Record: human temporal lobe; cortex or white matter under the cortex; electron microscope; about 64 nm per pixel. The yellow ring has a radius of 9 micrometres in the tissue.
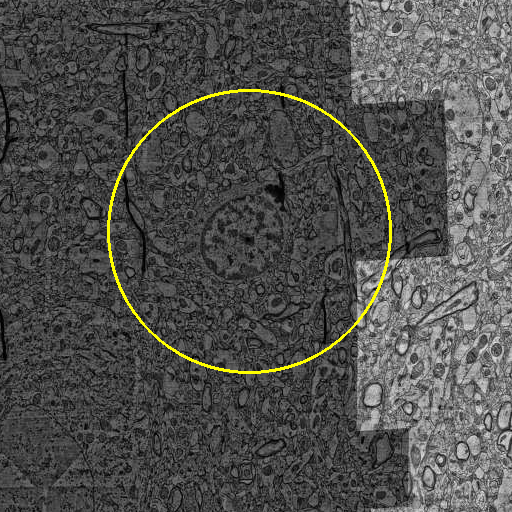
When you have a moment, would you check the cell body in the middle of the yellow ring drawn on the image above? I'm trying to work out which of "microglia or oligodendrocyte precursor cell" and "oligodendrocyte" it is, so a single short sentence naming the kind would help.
This cell body belongs to an oligodendrocyte.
